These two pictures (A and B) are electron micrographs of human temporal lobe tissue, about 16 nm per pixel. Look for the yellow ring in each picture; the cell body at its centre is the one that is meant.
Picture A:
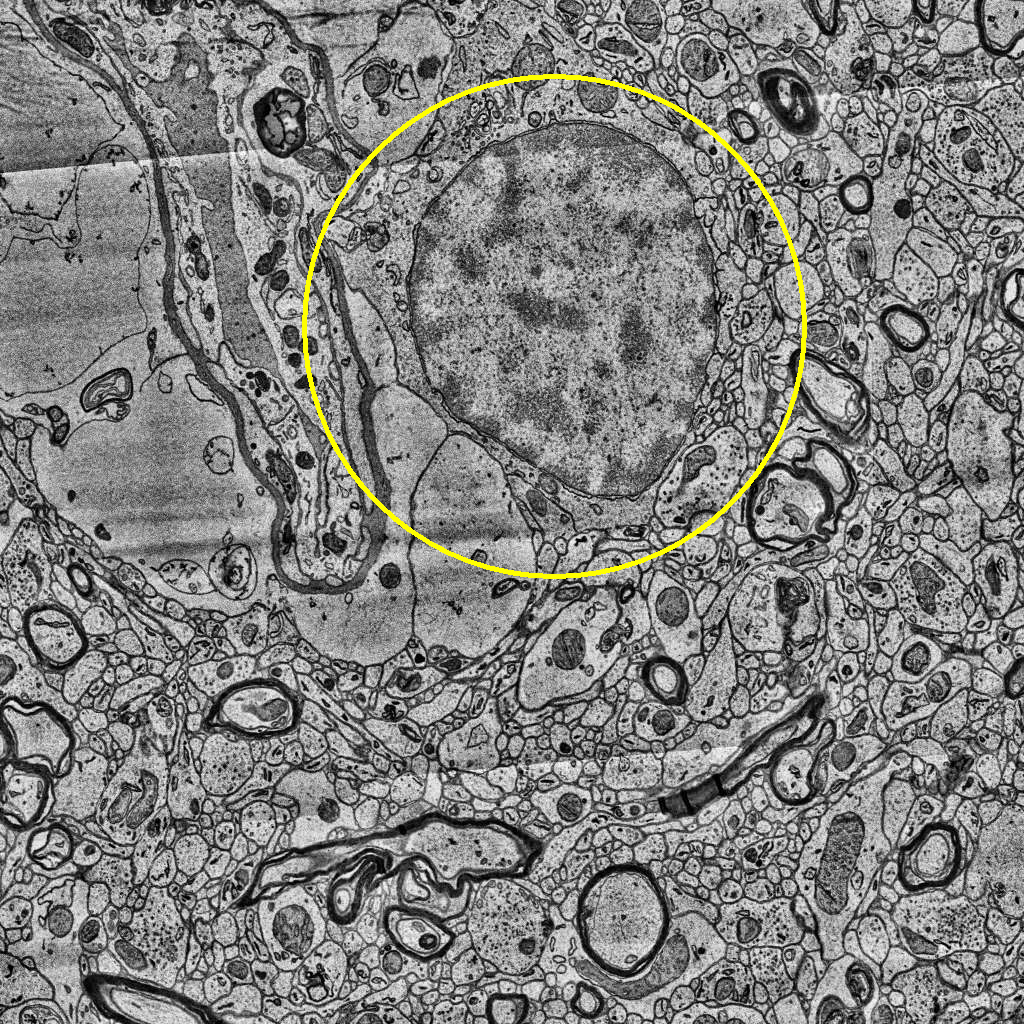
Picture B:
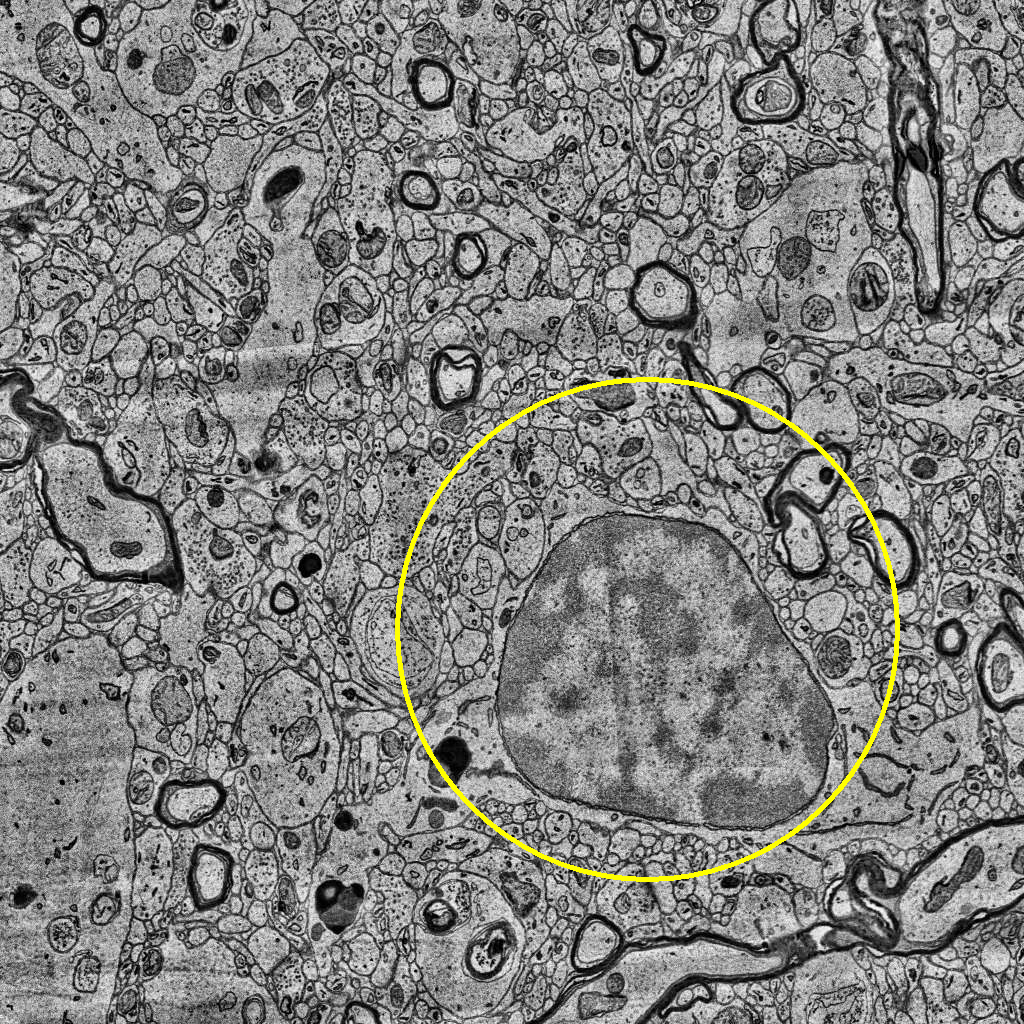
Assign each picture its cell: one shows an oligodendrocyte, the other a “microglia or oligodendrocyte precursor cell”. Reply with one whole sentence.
The cell in picture A is an oligodendrocyte, and the one in picture B is a “microglia or oligodendrocyte precursor cell”.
